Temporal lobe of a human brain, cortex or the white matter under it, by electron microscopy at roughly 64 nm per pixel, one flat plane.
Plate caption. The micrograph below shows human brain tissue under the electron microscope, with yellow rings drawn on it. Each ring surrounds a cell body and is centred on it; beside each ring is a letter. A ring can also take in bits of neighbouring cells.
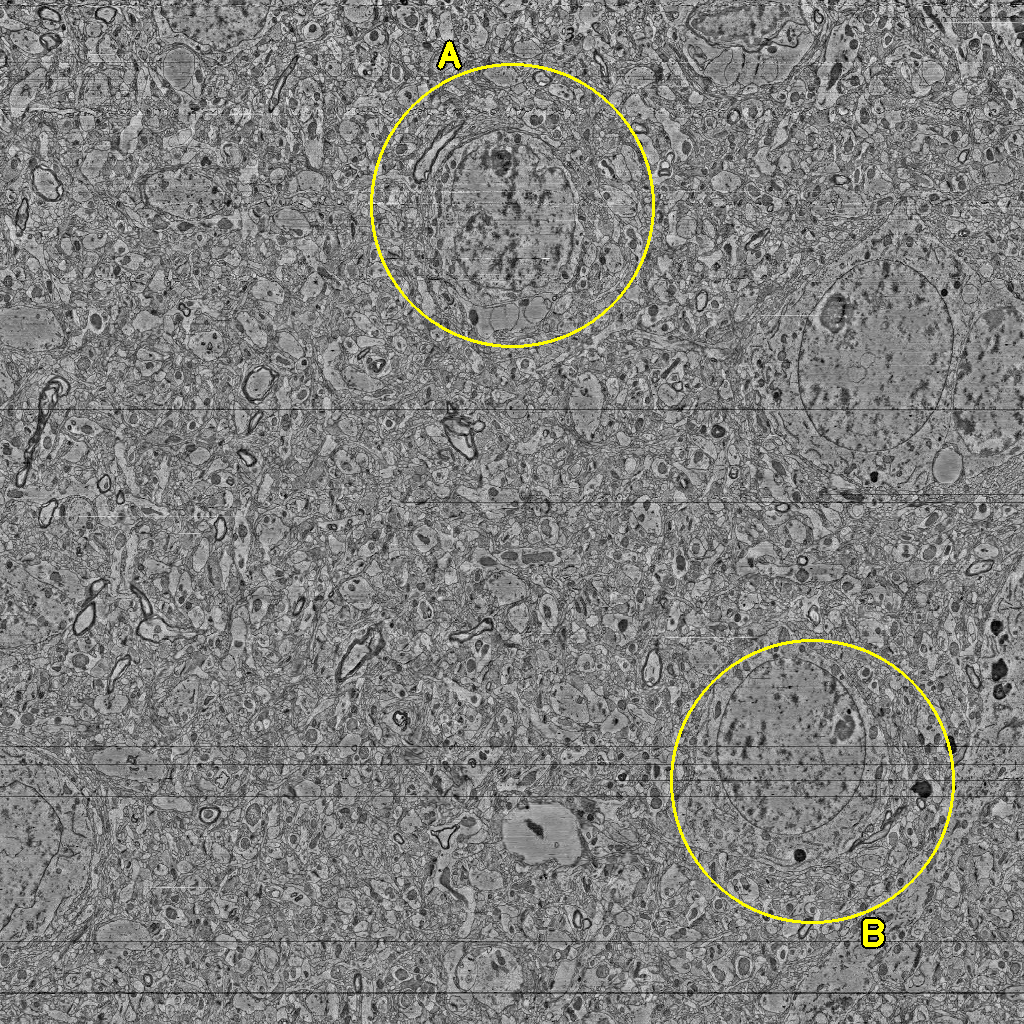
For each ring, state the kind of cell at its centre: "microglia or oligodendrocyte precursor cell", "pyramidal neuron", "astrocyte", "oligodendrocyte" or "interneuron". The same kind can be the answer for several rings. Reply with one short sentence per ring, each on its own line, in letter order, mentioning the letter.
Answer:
Ring A is drawn around an interneuron.
Ring B is drawn around a pyramidal neuron.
